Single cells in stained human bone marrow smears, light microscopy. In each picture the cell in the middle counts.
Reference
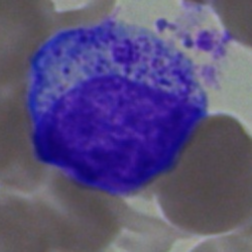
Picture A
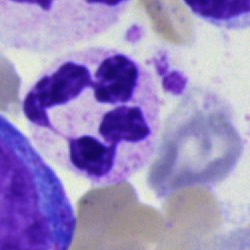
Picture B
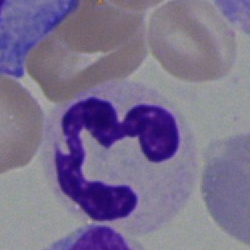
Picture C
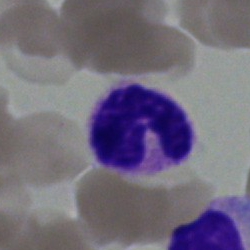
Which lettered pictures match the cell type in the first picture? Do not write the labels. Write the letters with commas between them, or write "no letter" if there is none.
no letter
